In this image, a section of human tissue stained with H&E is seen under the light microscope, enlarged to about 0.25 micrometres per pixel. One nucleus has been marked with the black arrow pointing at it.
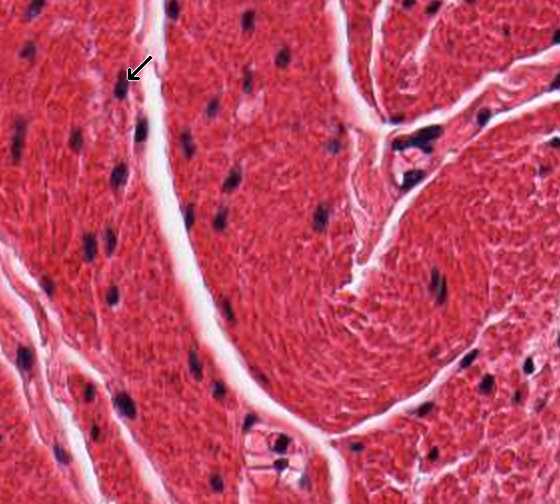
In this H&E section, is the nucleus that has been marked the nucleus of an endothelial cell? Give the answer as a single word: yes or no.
no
